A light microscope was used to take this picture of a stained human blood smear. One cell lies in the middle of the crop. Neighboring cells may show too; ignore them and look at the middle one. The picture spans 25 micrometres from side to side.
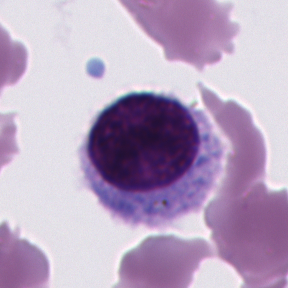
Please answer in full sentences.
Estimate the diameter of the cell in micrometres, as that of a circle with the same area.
Taken as a circle, the cell has a diameter of about 12 micrometres.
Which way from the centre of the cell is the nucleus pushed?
Seen from the middle of the cell, the nucleus lies toward the upper left.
